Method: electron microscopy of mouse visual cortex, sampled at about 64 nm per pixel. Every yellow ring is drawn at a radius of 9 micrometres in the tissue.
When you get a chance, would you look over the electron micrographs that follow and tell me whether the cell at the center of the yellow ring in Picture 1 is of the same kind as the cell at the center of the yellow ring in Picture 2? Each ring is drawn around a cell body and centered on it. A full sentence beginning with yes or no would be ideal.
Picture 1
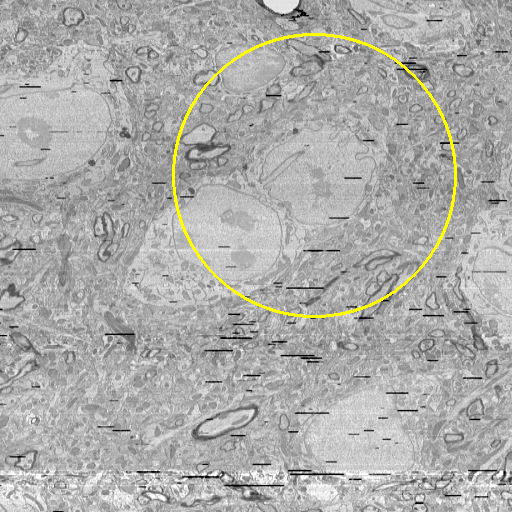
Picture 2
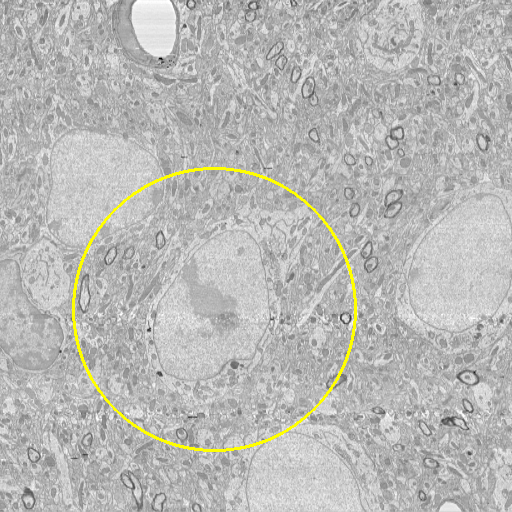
Yes, the two cells are of the same kind.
